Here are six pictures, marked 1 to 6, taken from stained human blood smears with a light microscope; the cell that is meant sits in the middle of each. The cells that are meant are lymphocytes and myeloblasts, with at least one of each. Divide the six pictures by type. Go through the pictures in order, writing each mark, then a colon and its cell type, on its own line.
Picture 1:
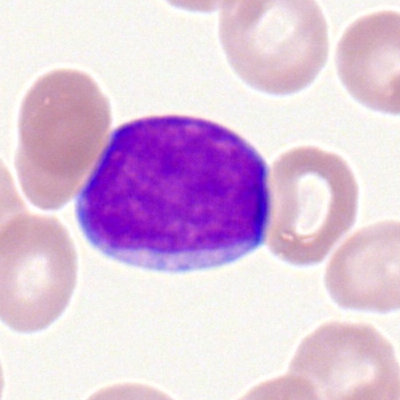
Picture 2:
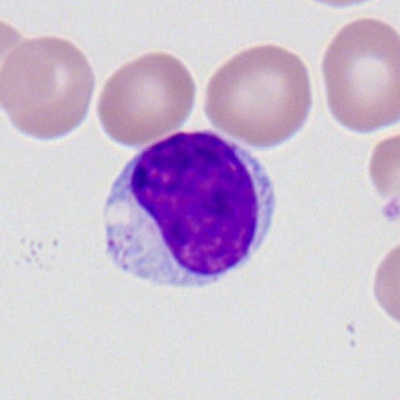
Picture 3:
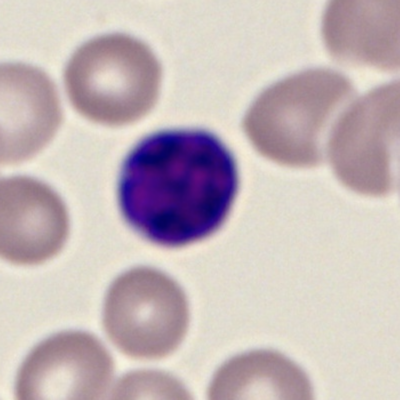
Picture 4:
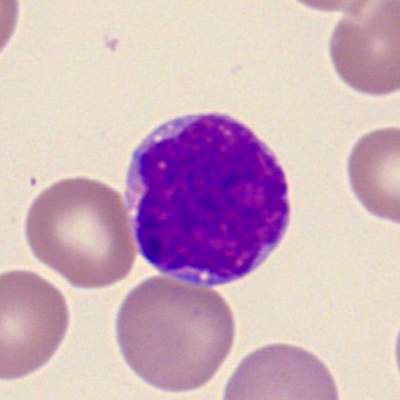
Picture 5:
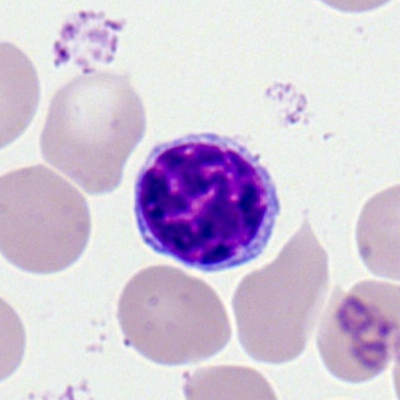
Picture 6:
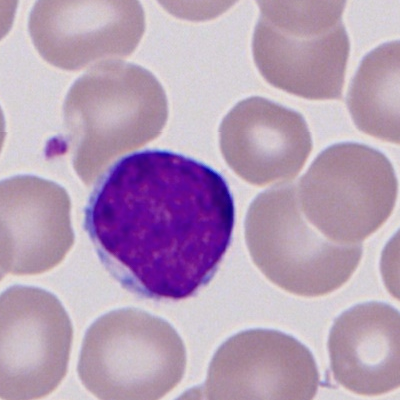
1: myeloblast
2: lymphocyte
3: lymphocyte
4: myeloblast
5: lymphocyte
6: lymphocyte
